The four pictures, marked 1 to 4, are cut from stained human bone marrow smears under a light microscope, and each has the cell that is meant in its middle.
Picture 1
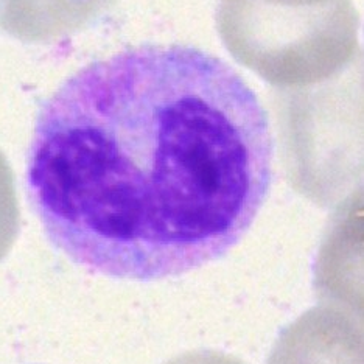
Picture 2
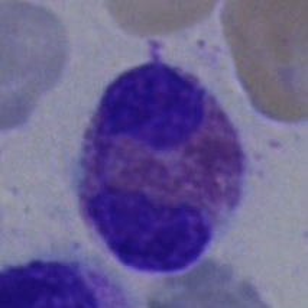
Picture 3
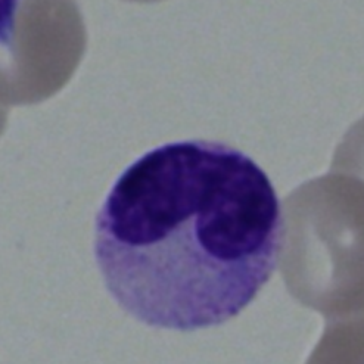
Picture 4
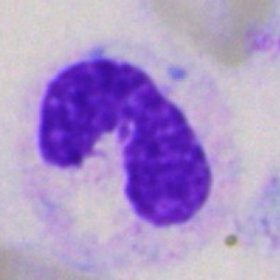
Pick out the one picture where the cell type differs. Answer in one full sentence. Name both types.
All pictures except 2 show band neutrophils; picture 2 shows an eosinophil.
